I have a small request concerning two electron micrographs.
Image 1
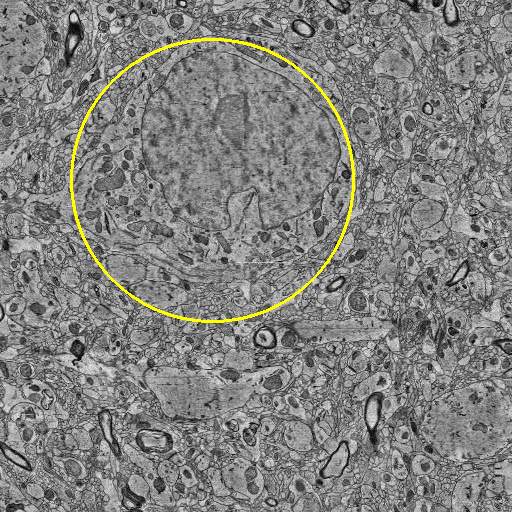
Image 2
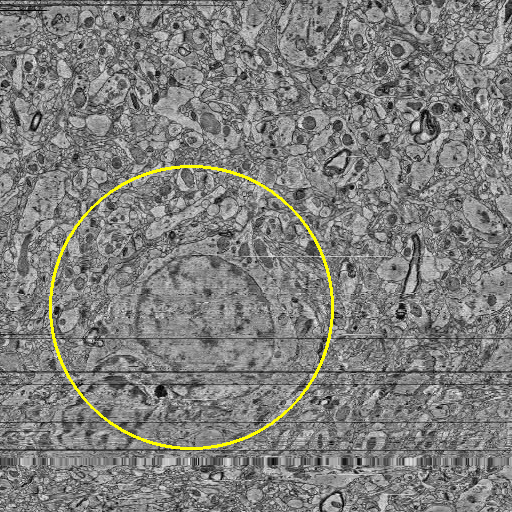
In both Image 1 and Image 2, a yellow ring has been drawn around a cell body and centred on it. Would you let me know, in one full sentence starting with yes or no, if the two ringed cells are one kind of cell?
Yes, the cells ringed in Image 1 and Image 2 are one kind of cell.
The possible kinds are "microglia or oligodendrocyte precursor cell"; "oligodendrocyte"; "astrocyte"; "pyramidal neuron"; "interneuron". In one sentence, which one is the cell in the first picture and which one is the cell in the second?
The first and the second cell are each an interneuron.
